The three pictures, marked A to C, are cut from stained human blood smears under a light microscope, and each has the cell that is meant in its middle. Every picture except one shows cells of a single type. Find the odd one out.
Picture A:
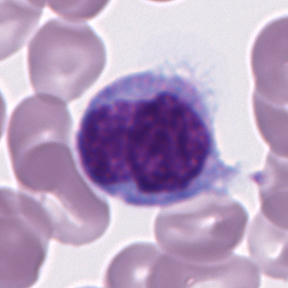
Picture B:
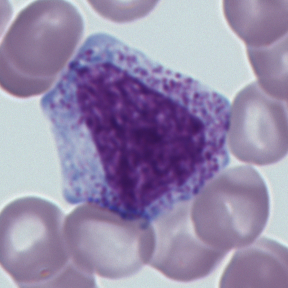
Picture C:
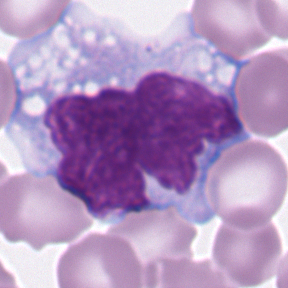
B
